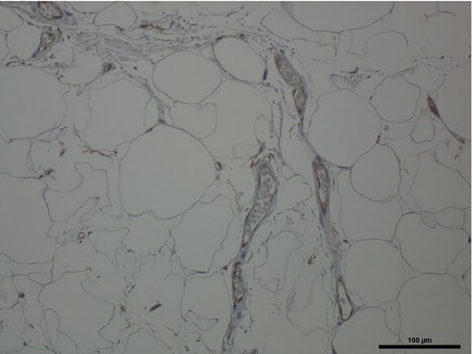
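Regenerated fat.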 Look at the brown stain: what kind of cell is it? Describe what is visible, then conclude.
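Endothelial cell. Brown stain lines the walls of elongated tubular profiles running between the fat vacuoles. The tubular profiles contain packed material in their lumens.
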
